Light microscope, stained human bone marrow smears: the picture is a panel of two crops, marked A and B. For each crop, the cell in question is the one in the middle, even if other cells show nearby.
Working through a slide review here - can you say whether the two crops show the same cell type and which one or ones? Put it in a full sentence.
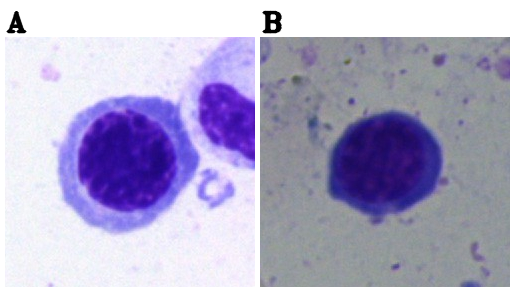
Yes, both crops show erythroblasts in their central position.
